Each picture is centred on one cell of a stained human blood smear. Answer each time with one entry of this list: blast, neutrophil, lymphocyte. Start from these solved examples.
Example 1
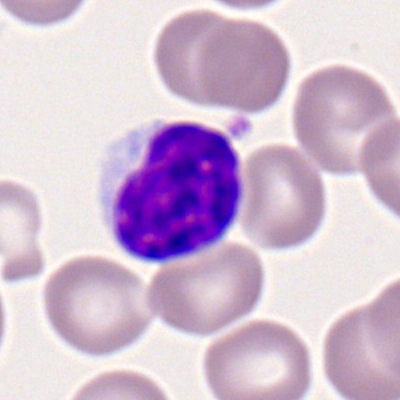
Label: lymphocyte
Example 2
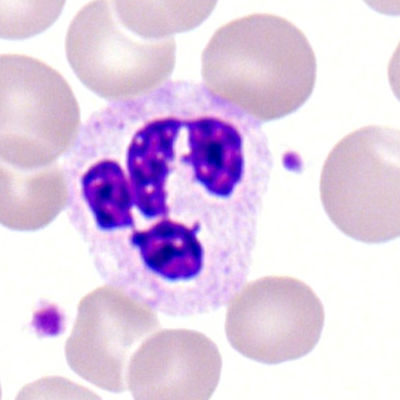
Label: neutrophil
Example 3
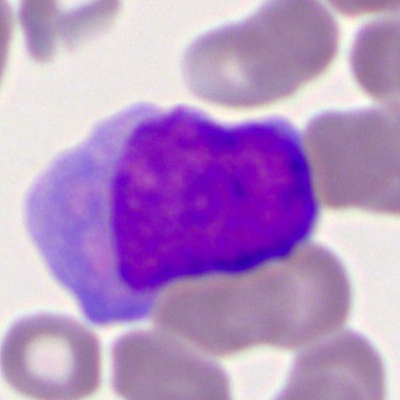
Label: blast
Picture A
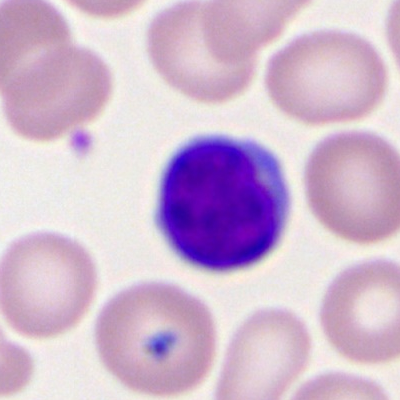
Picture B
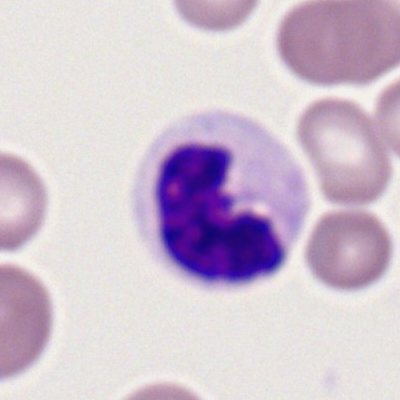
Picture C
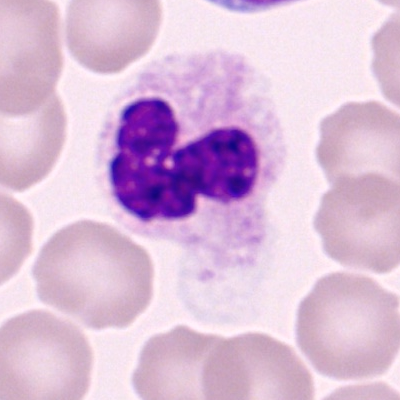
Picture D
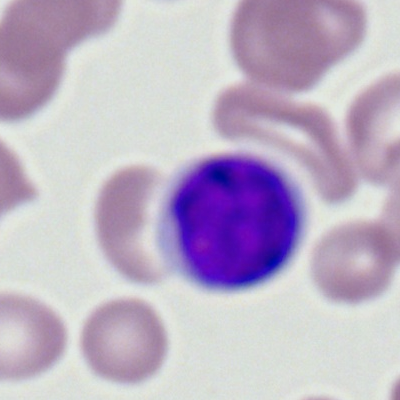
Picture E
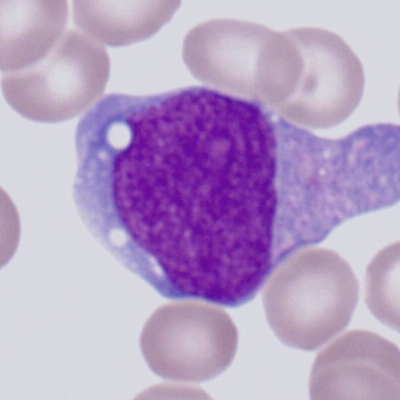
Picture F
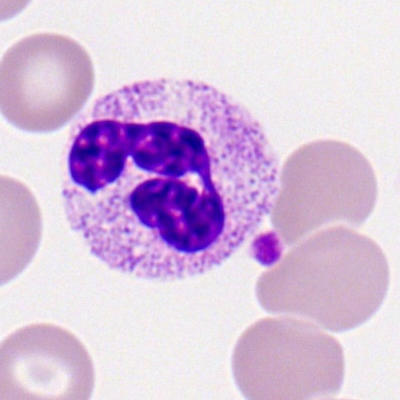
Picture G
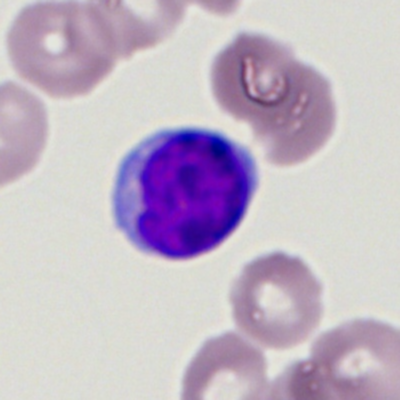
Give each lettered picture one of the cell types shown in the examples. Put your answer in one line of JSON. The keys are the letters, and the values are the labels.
{"A": "lymphocyte", "B": "neutrophil", "C": "neutrophil", "D": "lymphocyte", "E": "blast", "F": "neutrophil", "G": "lymphocyte"}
